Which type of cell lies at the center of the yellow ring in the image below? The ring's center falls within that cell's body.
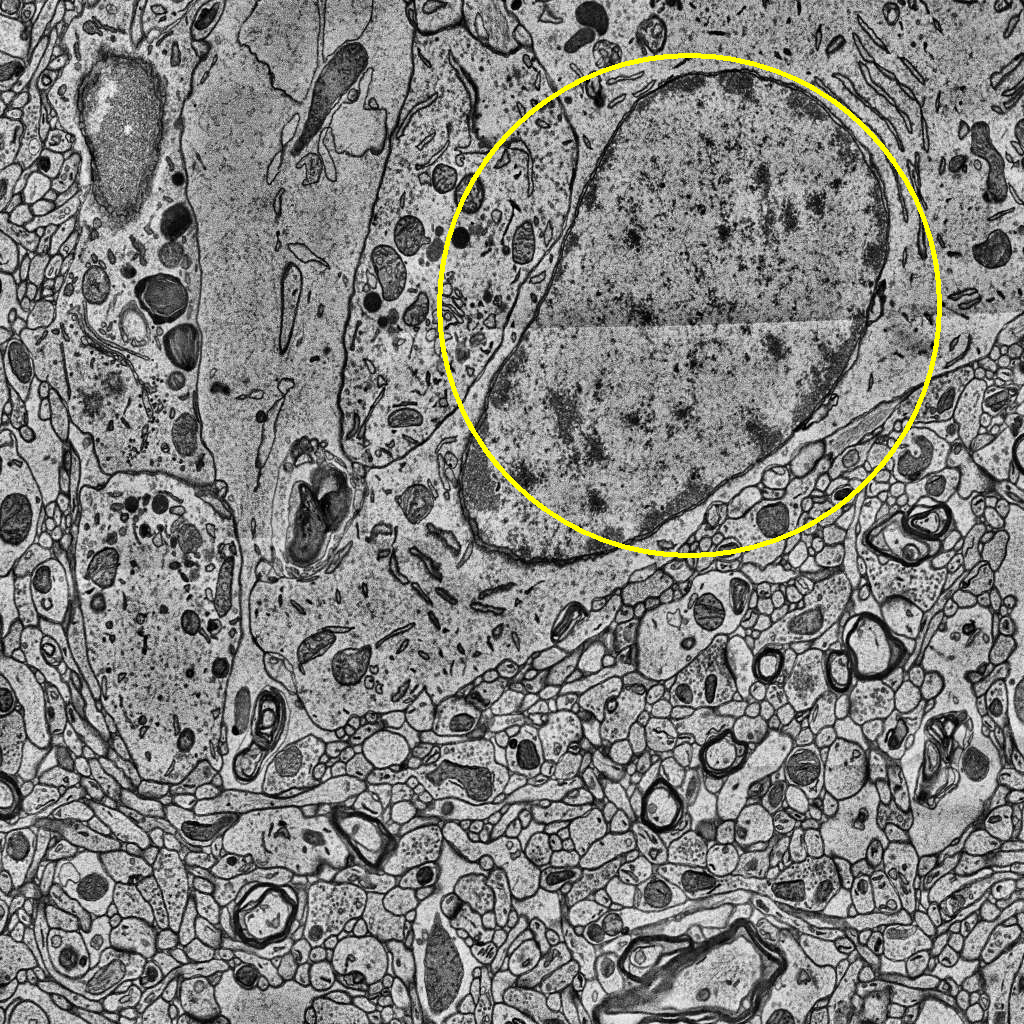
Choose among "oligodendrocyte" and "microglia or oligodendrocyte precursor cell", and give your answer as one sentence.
The cell body at the center belongs to a microglial cell or oligodendrocyte precursor cell.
